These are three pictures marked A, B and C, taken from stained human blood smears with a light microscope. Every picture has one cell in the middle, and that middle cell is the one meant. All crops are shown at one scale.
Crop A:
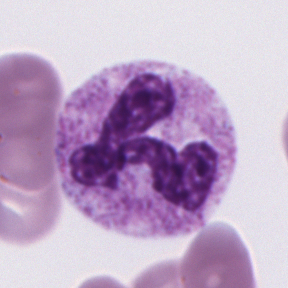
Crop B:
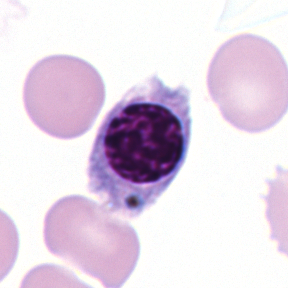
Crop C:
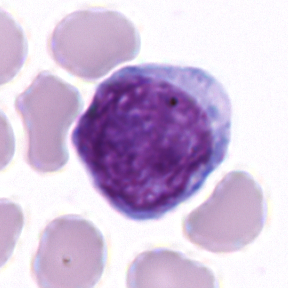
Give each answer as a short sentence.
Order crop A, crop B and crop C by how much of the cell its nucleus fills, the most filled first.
They run C, B, A, the most filled first.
